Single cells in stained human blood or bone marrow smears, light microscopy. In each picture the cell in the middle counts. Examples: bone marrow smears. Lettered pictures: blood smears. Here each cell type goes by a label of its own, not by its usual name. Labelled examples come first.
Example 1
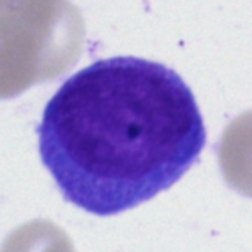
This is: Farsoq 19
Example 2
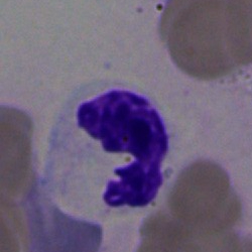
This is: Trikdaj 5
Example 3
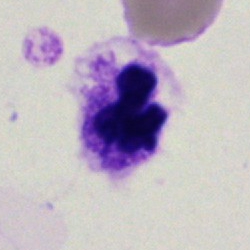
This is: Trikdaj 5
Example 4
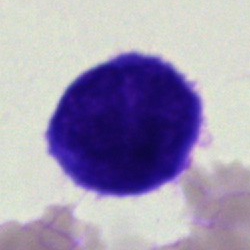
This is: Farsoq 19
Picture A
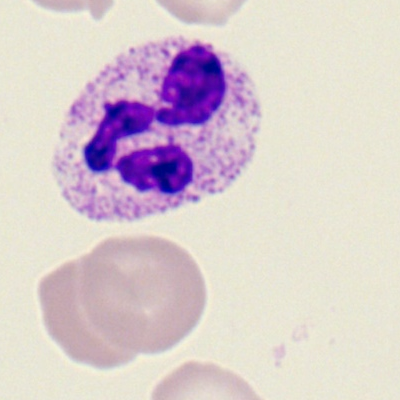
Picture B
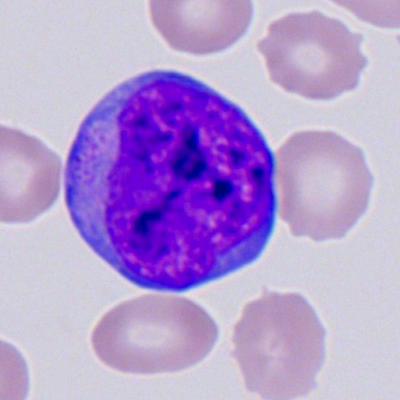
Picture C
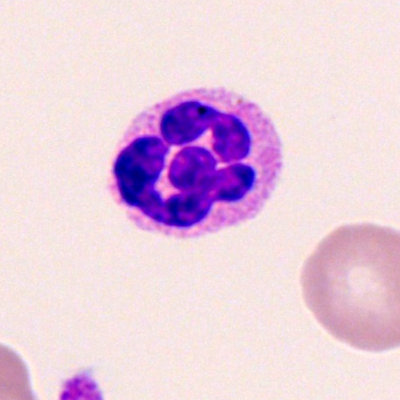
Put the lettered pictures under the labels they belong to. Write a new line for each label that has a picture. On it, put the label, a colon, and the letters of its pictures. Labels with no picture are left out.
Farsoq 19: B
Trikdaj 5: A, C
